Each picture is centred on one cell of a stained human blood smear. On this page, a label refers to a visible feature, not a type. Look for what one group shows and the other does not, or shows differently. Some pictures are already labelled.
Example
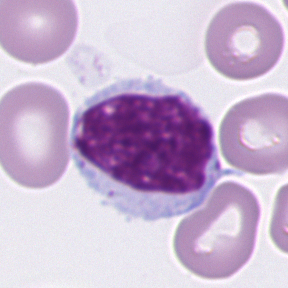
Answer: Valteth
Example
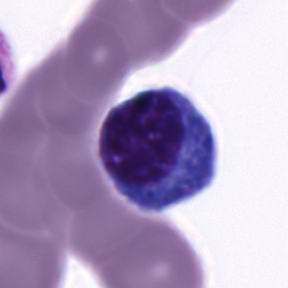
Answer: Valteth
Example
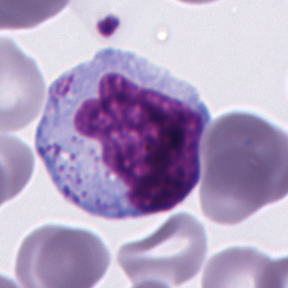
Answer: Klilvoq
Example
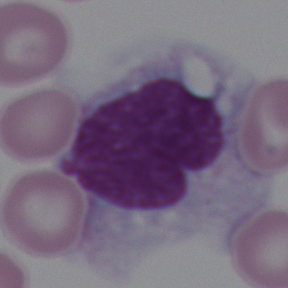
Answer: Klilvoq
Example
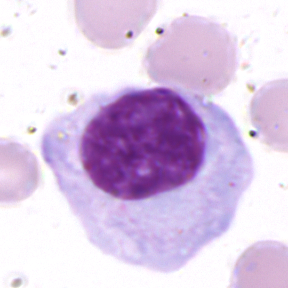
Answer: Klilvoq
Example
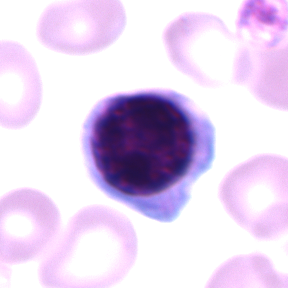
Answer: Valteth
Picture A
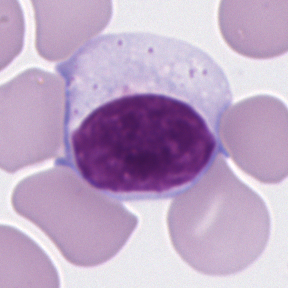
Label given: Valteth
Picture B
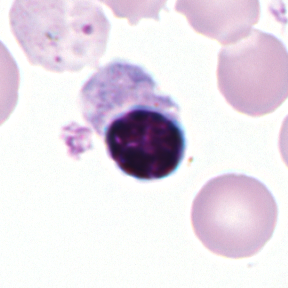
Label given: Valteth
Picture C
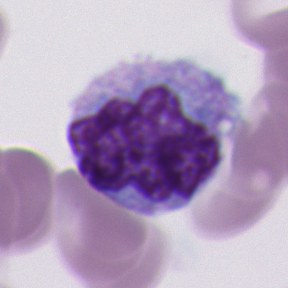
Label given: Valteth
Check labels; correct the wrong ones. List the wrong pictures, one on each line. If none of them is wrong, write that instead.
A: Klilvoq, not Valteth
B: Klilvoq, not Valteth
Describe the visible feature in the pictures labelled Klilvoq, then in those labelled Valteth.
In Klilvoq: abundant cytoplasm. In Valteth: scant cytoplasm.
